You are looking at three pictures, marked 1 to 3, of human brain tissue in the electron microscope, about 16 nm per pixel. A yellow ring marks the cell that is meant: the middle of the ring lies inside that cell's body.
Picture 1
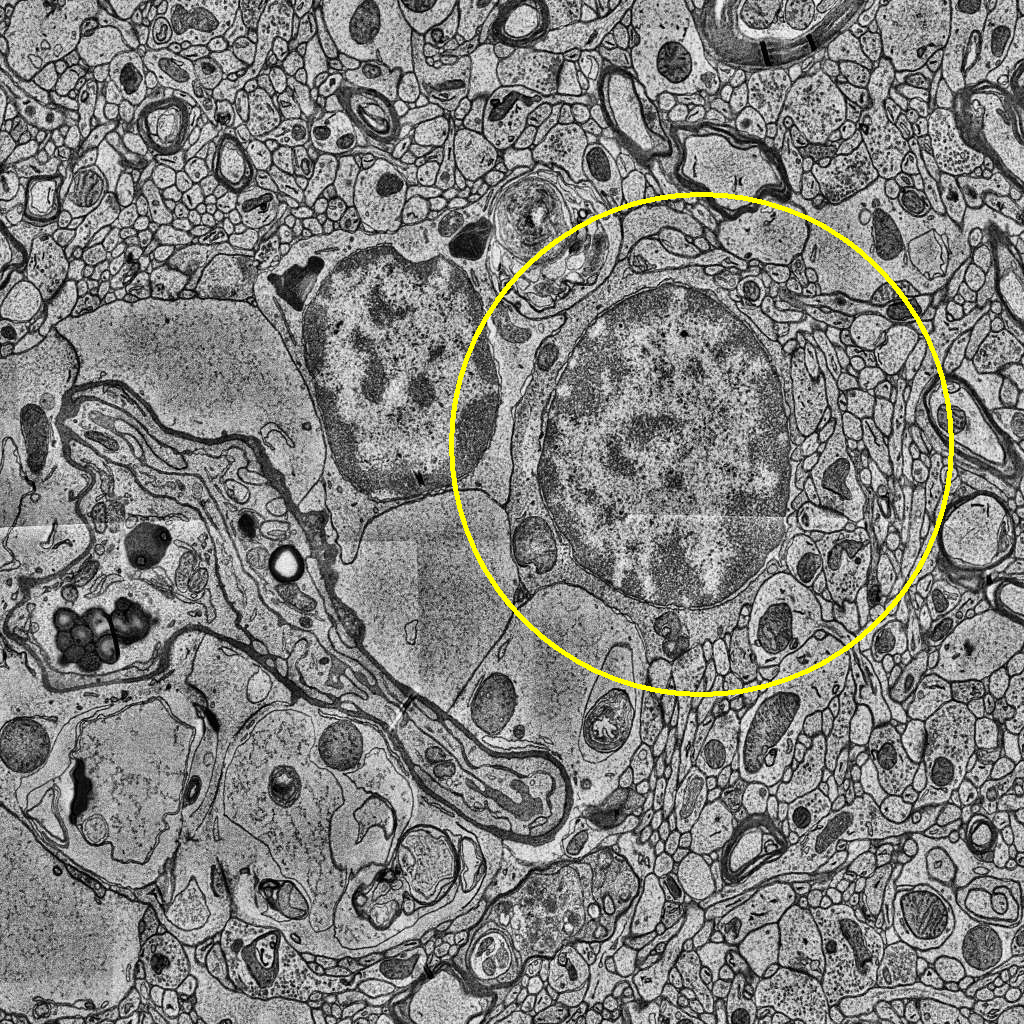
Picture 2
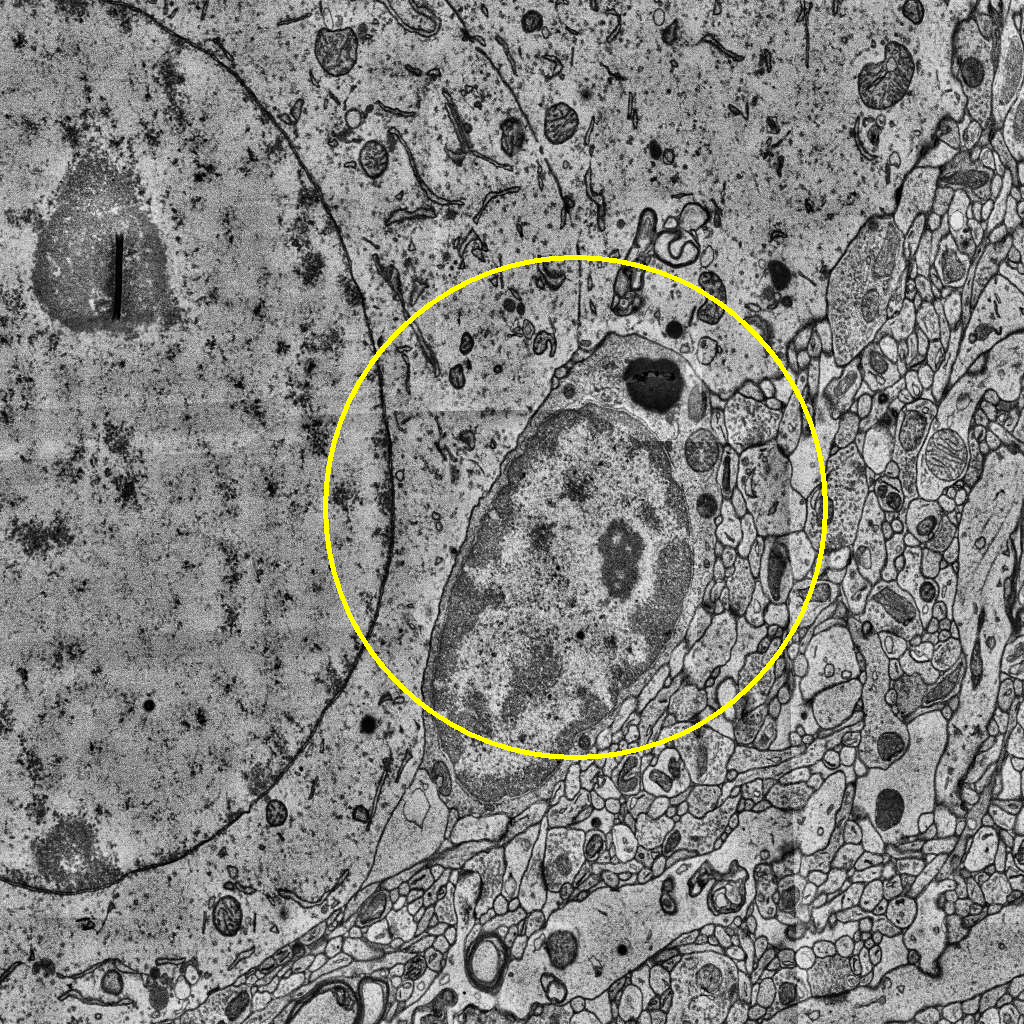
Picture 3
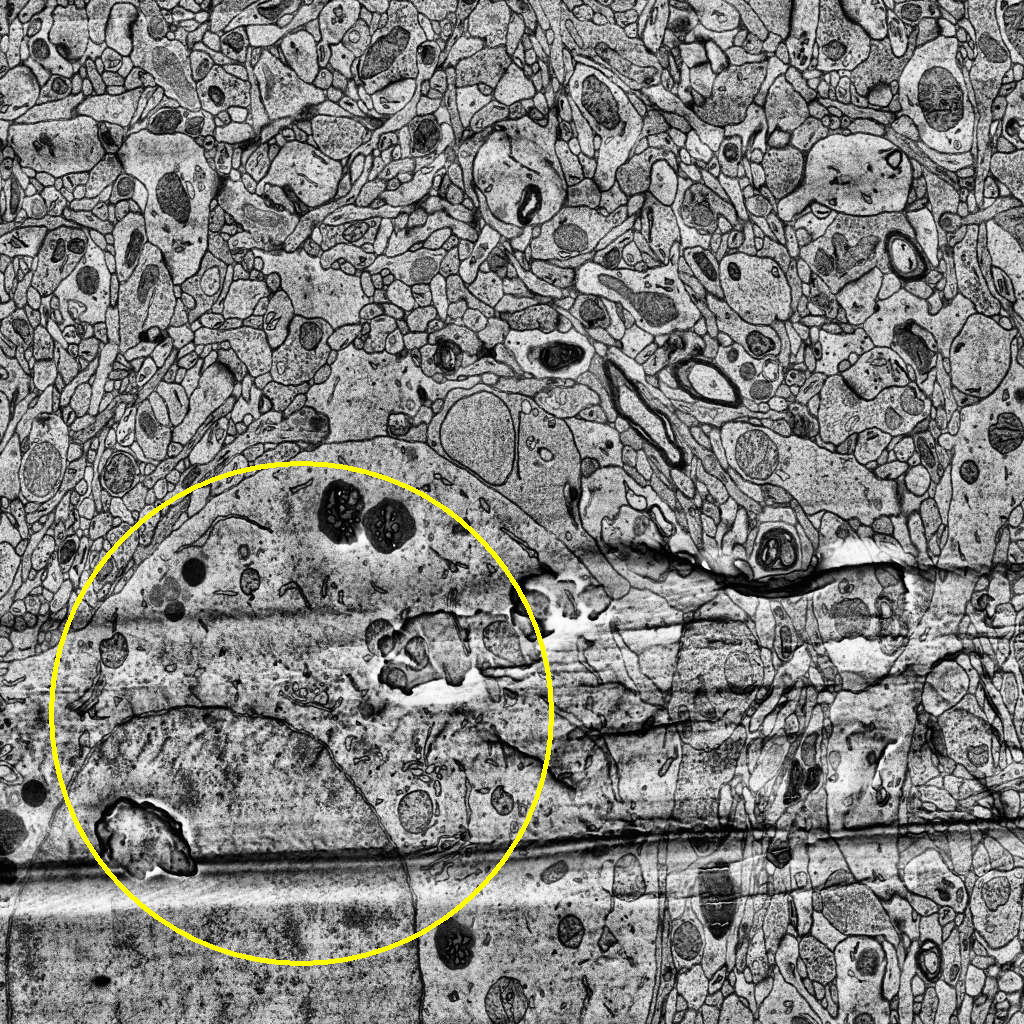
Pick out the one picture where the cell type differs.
All pictures except 3 show oligodendrocytes; picture 3 shows a pyramidal neuron.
